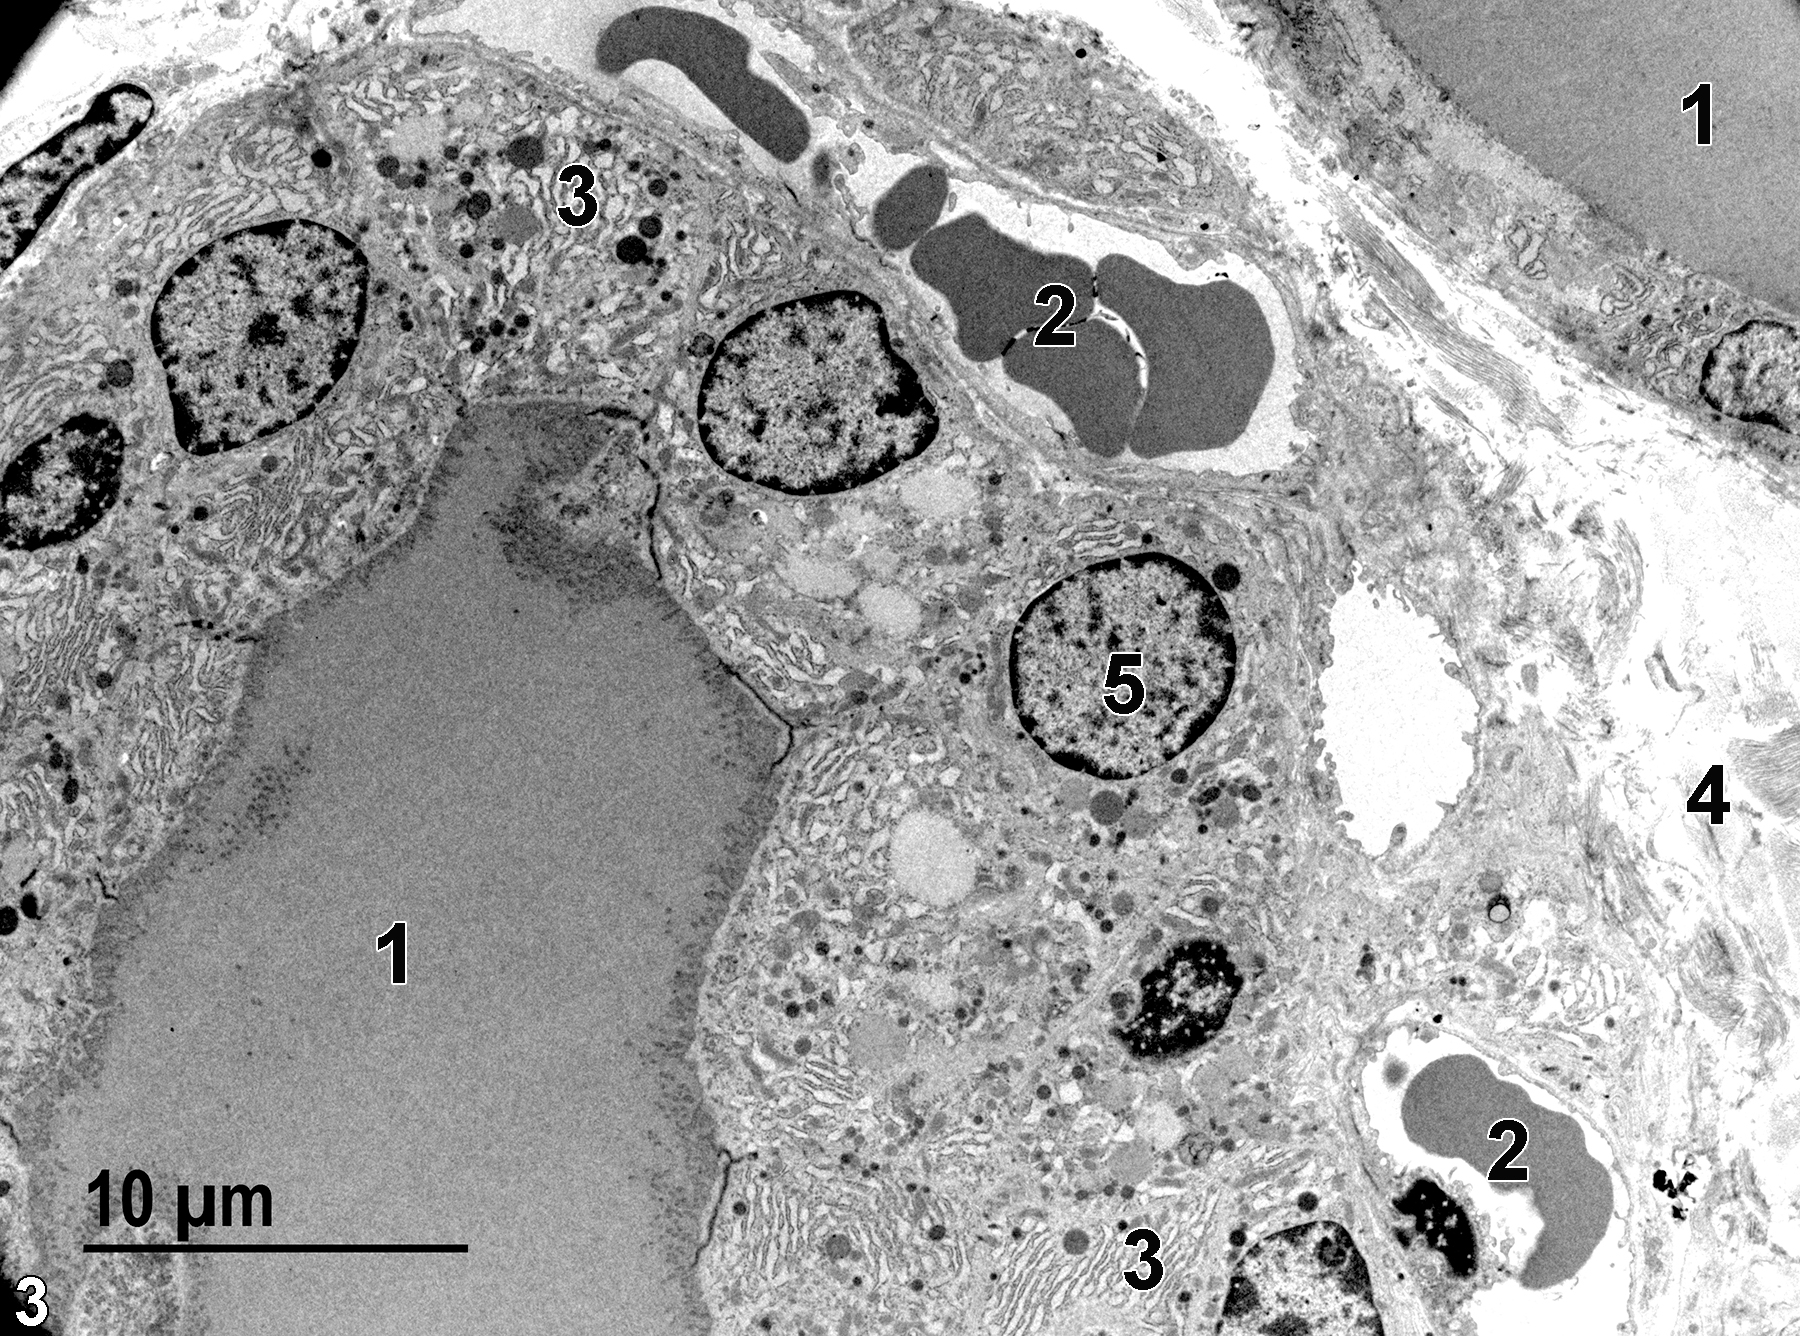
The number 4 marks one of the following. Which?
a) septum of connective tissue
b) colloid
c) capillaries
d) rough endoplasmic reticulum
a) septum of connective tissue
